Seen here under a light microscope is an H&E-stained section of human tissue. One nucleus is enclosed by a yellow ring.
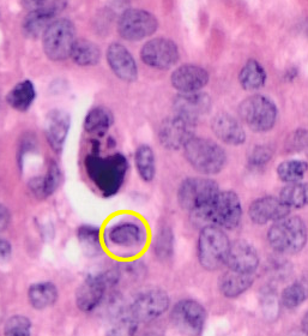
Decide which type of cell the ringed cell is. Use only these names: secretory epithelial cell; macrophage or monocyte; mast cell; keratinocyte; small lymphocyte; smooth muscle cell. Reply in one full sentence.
In terms of identity, the ringed cell is a macrophage or monocyte.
